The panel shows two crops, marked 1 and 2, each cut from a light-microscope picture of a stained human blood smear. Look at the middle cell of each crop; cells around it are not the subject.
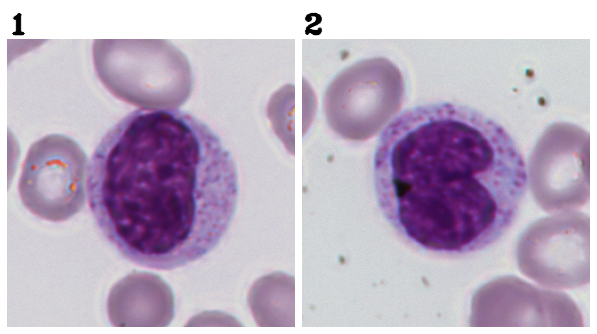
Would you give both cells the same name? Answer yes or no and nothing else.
yes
